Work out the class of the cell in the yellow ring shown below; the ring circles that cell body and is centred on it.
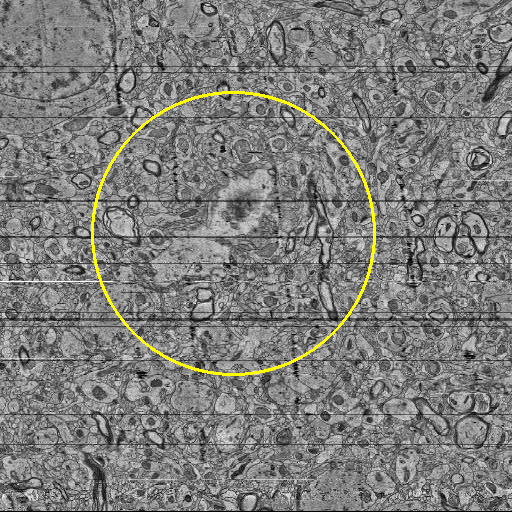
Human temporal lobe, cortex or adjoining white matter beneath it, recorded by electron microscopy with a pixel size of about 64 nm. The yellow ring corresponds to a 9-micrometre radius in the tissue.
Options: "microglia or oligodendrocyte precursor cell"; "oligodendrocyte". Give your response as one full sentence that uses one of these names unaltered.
The body ringed in yellow, right at the ring's centre, is that of a microglial cell or oligodendrocyte precursor cell.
